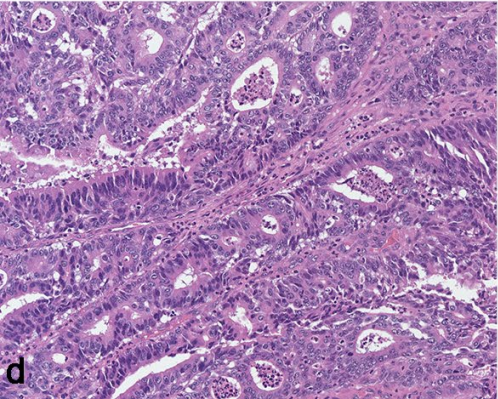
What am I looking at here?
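This is a gland-forming carcinoma: the tumor cells line crowded, irregular tubules with open lumens, set in a thin pink fibrous stroma. The lining cells are tall and columnar, with elongated dark purple nuclei that are crowded and stacked in several layers. Several lumens hold pale pink material and scattered cell debris. The glands are still recognisable but irregular and back-to-back, as in a moderately differentiated tumor.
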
